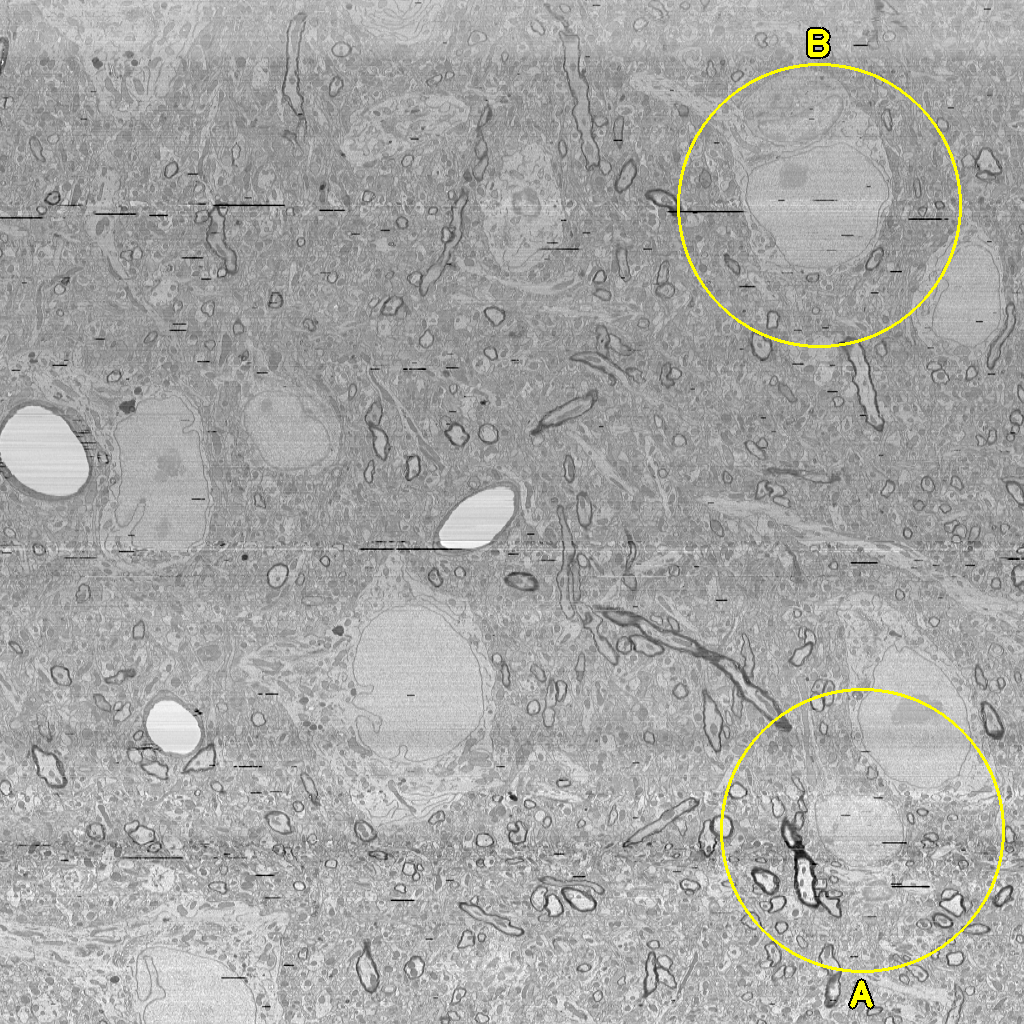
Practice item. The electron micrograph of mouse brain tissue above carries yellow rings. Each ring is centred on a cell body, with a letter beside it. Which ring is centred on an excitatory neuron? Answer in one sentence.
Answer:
Ring B is centred on it.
